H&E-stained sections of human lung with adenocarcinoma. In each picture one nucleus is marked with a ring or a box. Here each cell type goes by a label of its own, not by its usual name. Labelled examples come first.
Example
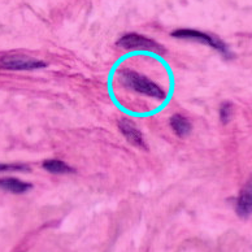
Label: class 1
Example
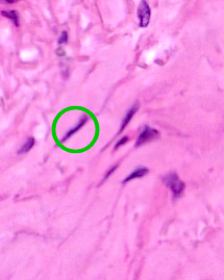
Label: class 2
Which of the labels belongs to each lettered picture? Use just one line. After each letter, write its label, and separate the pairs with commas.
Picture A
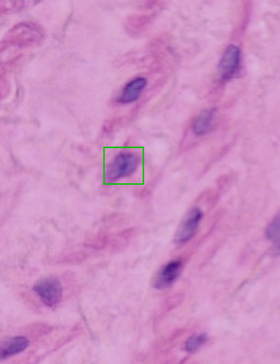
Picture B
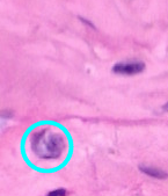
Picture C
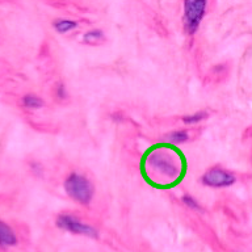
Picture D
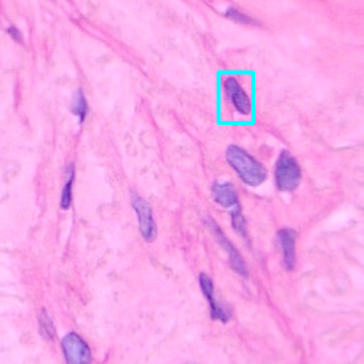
A class 1, B class 2, C class 1, D class 1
